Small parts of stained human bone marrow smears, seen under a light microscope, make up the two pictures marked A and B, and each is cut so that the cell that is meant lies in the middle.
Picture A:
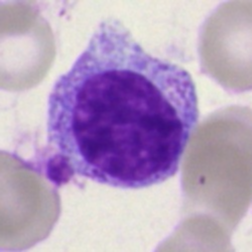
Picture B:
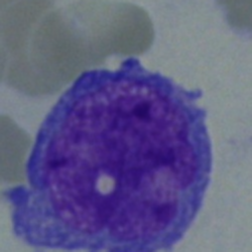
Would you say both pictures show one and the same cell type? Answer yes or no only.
no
